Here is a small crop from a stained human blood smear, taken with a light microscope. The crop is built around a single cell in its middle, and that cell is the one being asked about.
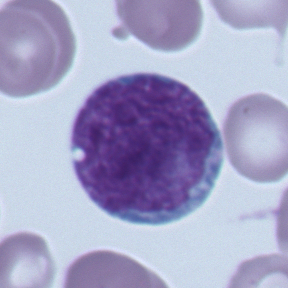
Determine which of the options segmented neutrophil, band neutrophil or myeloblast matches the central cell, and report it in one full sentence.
The cell positioned in the middle of the field is a myeloblast.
